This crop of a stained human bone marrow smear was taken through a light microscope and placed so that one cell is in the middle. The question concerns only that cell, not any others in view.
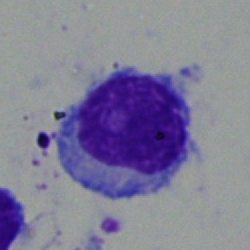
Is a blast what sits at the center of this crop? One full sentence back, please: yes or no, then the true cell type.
No, the centred cell is a lymphocyte instead of a blast.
